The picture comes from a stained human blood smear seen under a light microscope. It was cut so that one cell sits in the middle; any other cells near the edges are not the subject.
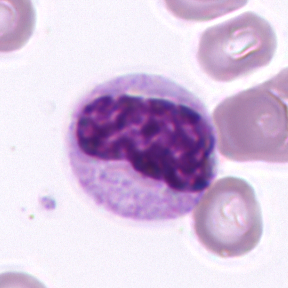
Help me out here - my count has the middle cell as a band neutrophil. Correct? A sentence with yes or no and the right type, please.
No, it is not a band neutrophil that sits at the centre but a metamyelocyte.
